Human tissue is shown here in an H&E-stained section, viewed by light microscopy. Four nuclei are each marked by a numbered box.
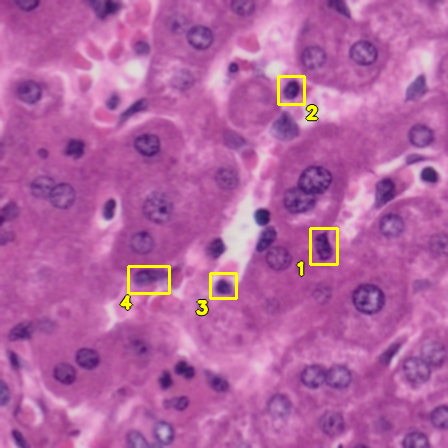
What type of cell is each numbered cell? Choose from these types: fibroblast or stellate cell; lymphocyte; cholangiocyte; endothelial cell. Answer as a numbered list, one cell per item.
1. fibroblast or stellate cell
2. lymphocyte
3. lymphocyte
4. fibroblast or stellate cell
